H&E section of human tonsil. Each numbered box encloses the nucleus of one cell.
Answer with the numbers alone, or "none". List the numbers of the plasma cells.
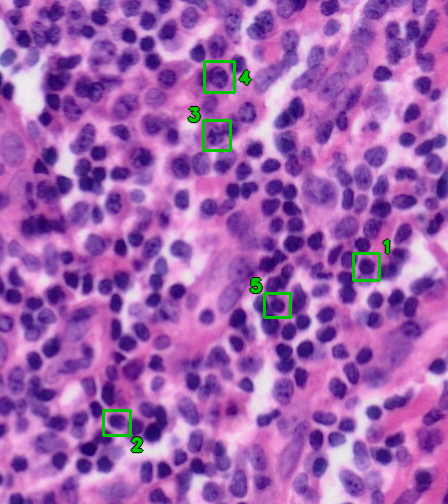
3, 4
